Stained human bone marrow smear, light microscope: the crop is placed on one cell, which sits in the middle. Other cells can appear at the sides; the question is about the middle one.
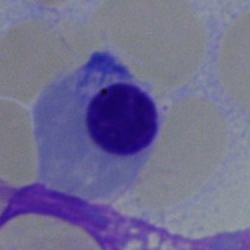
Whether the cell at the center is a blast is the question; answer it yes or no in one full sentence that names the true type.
No, at the middle of the crop is an erythroblast, not a blast.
